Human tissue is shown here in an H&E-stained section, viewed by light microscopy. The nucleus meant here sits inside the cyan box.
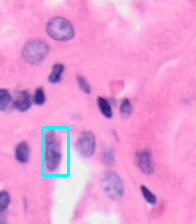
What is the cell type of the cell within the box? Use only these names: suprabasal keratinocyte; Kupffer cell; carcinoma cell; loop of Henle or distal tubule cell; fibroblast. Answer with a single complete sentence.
In this field of tissue, the cell within the box is a loop of Henle or distal tubule cell.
